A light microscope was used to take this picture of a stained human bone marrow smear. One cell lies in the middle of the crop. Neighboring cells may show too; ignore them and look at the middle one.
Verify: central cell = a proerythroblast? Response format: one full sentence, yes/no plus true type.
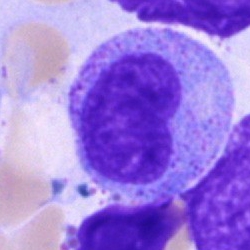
No, the centrally located cell is a promyelocyte rather than a proerythroblast.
